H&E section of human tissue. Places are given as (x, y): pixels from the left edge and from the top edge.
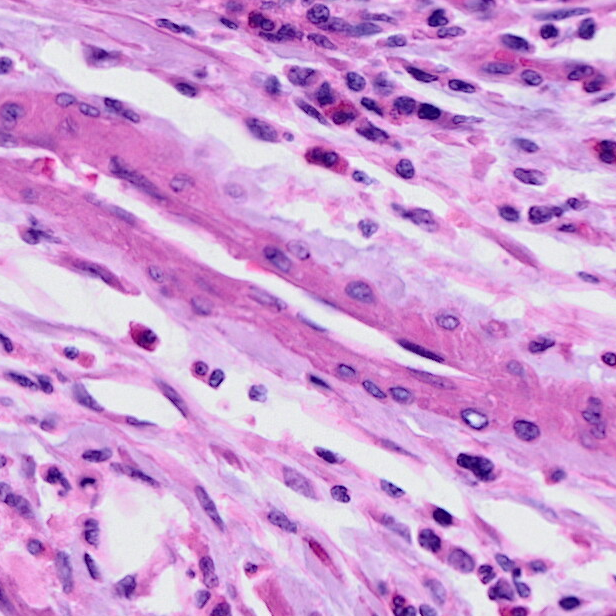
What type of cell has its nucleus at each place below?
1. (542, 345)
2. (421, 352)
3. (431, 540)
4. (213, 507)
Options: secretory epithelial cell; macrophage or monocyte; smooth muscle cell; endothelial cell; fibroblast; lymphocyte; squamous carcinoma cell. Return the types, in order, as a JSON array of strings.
["macrophage or monocyte", "endothelial cell", "lymphocyte", "fibroblast"]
